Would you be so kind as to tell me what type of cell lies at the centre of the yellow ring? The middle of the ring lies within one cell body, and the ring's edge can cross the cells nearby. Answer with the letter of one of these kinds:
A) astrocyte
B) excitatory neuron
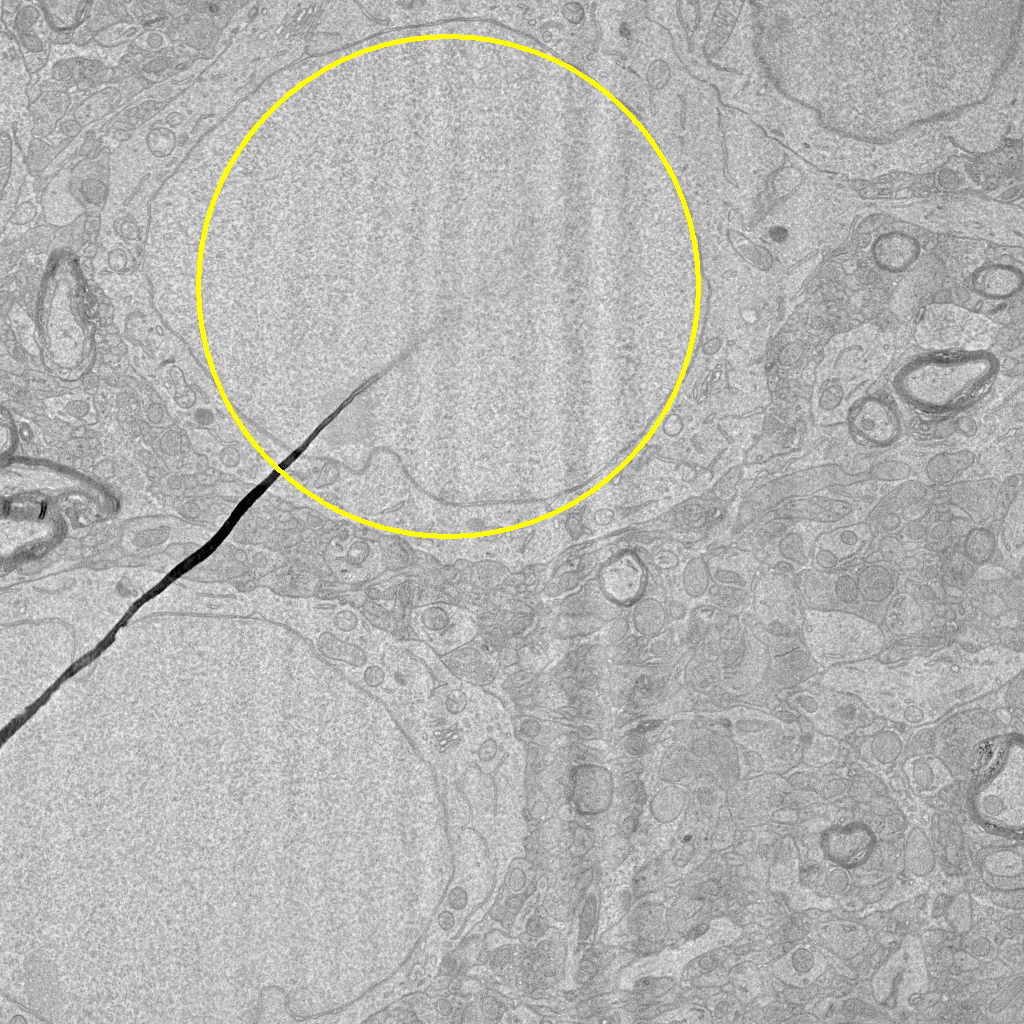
B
